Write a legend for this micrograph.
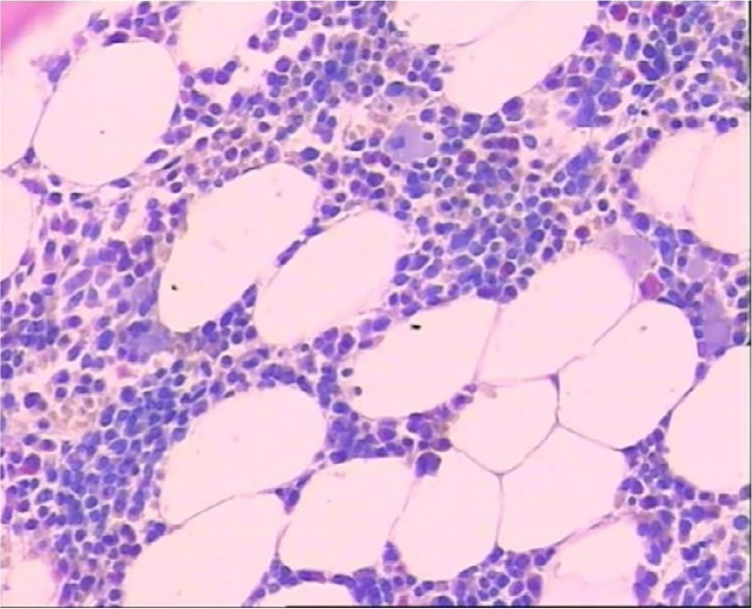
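This is bone marrow, in which blood-forming cells sit between large fat cells. The fat cells appear as big, clear, rounded or polygonal spaces with thin walls, packed closely and taking up a large share of the field. Between them lie cords and sheets of small, crowded cells with dark purple nuclei, of varied size and nuclear shape, showing a mixed population of developing blood cells. Here and there larger cells with pale violet cytoplasm stand out among the small ones, and a few cells with reddish cytoplasm are scattered through the cords. At the upper left corner a sliver of pink bone is just visible.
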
